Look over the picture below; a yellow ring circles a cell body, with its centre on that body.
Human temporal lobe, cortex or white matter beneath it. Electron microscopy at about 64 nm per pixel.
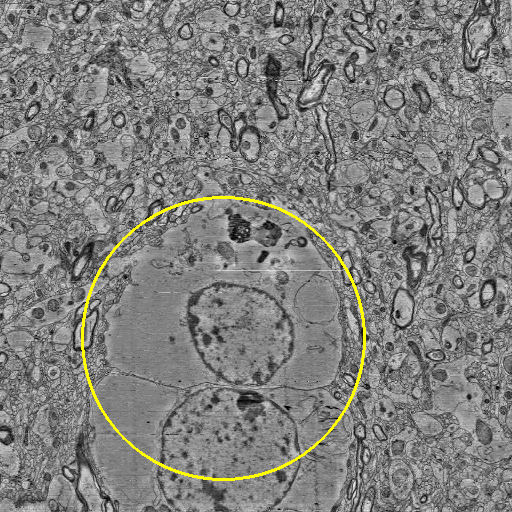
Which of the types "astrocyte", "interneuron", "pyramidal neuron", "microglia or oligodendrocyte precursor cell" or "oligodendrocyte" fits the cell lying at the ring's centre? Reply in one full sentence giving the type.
The picture shows an astrocyte at the centre of the yellow ring.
